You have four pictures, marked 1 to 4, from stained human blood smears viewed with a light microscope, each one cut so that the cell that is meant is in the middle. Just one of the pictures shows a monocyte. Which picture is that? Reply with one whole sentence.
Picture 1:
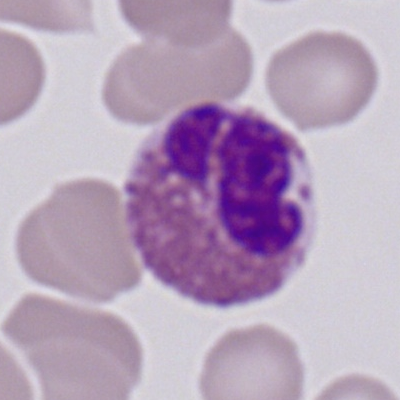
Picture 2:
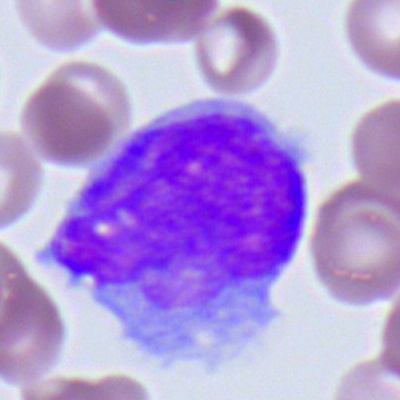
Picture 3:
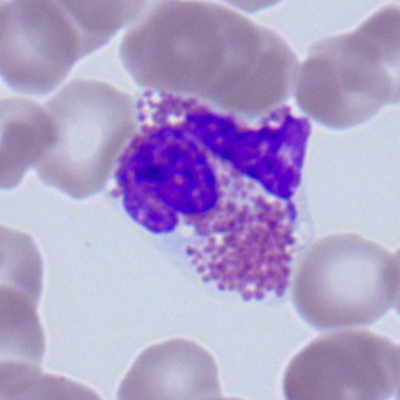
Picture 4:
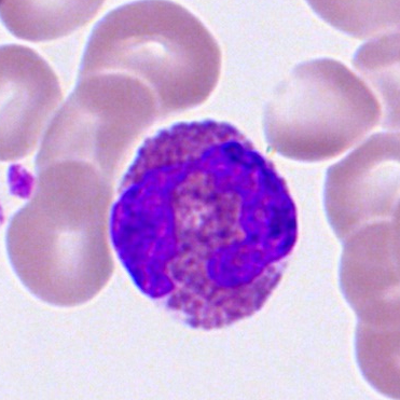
The monocyte is the one in picture 2.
